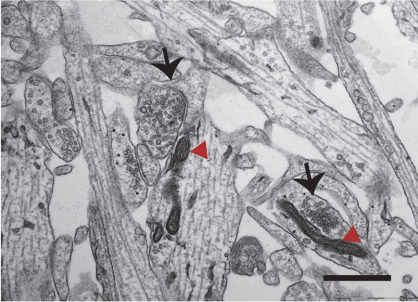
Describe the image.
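Two presynaptic terminals stand out as round profiles packed with small clear synaptic vesicles. Next to each lies a dark, elongated mitochondrion with internal membrane folds; in the lower terminal the mitochondrion curves along the edge of the vesicle cluster. The surrounding field contains many other small profiles of varying sizes separated by pale spaces.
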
